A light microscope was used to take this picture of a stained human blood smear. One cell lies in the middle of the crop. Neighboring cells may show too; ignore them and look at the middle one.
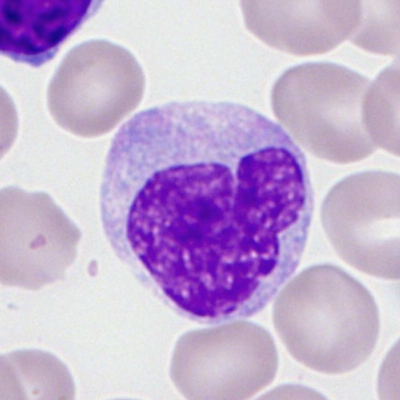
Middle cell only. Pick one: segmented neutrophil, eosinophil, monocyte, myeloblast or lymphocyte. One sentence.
On this slide crop, the central cell is a monocyte.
